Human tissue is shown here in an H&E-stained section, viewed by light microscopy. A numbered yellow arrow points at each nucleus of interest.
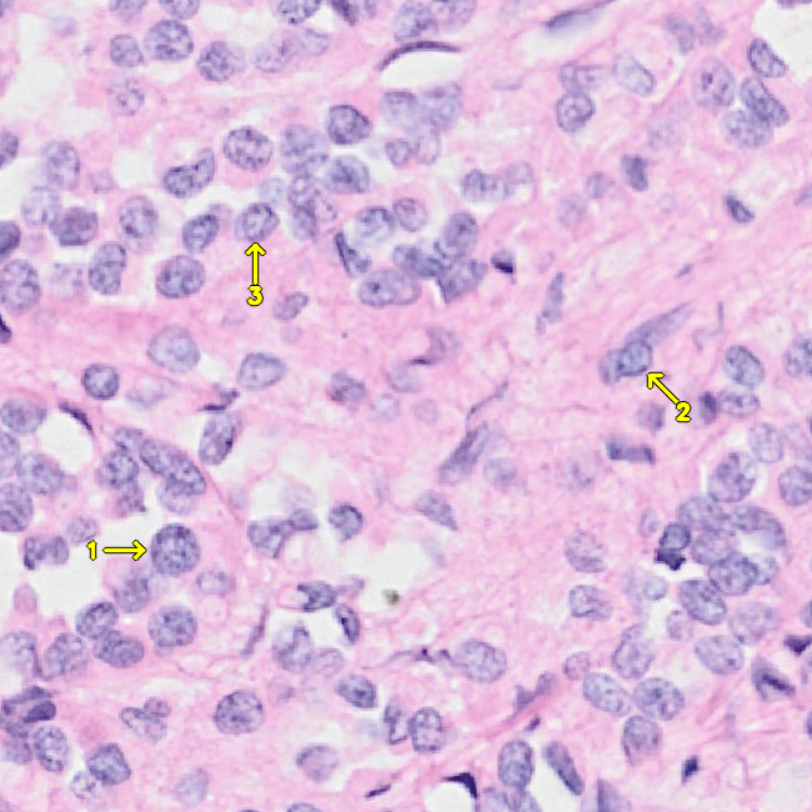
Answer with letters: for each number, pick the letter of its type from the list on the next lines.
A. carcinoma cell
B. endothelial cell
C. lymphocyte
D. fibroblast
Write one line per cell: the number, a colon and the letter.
1: A
2: B
3: A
